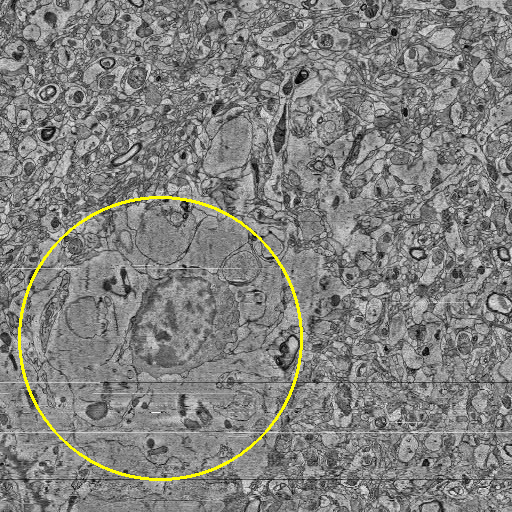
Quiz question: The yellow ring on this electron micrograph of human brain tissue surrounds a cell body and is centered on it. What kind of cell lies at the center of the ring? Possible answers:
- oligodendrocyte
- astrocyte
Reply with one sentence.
The ring's center lies on an oligodendrocyte.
